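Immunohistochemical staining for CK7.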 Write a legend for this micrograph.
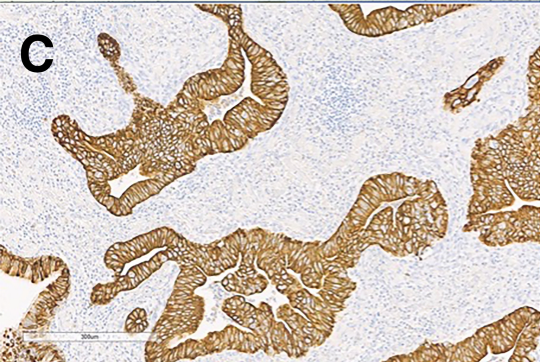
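Here the tumour glands are picked out in strong brown, while the surrounding stroma stays pale blue. The brown lies in the cytoplasm and along the cell borders of the tall lining cells, which form irregular, branching glands with open lumens. The nuclei in the glands show as pale ovals within the brown cells. In the stroma between the glands only small blue nuclei are seen, with no brown.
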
